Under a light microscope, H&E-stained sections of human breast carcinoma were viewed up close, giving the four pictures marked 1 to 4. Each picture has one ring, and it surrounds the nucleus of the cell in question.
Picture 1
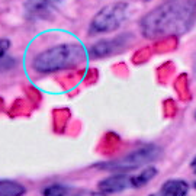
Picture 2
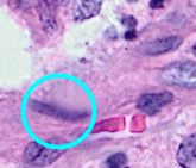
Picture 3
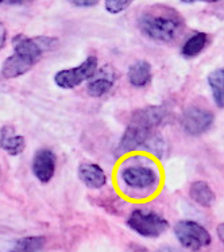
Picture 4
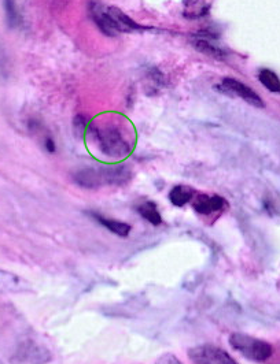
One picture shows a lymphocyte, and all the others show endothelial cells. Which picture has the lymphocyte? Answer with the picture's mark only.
3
